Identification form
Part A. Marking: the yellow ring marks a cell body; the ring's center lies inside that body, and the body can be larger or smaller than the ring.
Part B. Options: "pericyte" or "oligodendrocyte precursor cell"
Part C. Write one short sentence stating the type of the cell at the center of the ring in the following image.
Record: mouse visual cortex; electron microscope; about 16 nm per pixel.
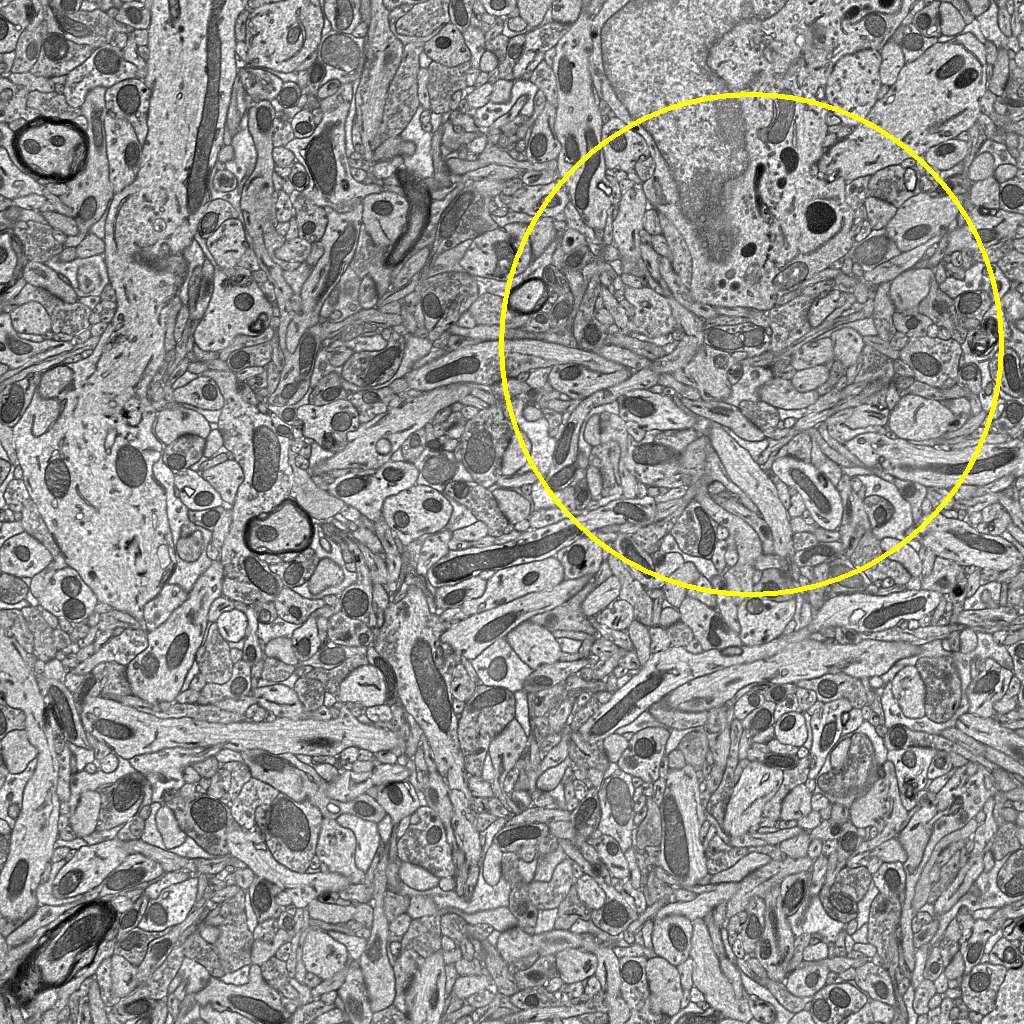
The center of the ring holds an oligodendrocyte precursor cell.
